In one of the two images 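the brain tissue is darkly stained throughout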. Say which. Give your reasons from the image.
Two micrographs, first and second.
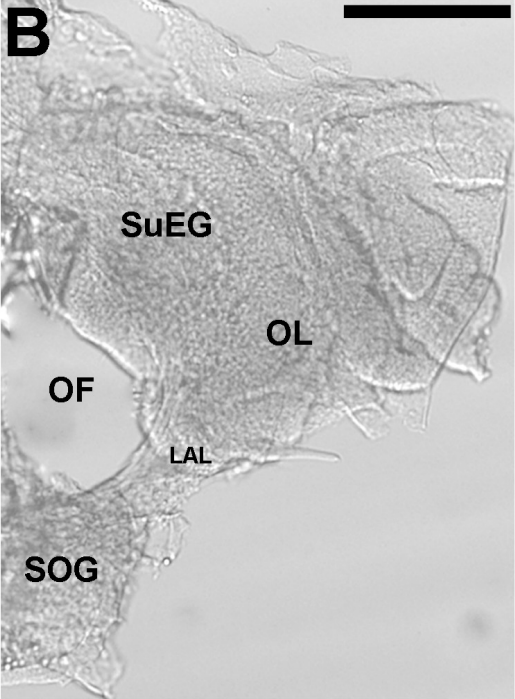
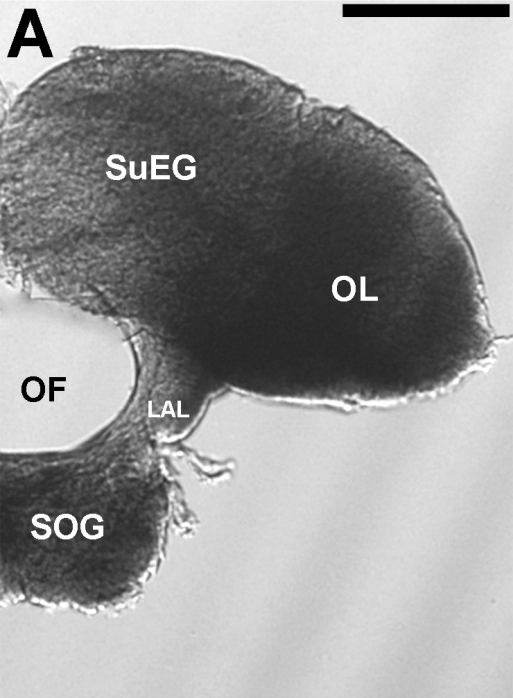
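First image: the brain tissue is pale grey and translucent, with fine texture and outlines visible. The answer: the second image.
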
